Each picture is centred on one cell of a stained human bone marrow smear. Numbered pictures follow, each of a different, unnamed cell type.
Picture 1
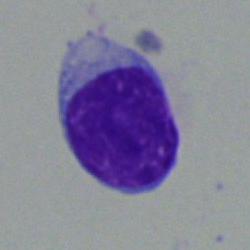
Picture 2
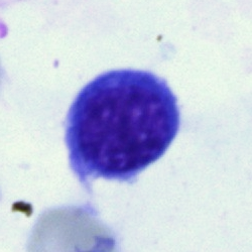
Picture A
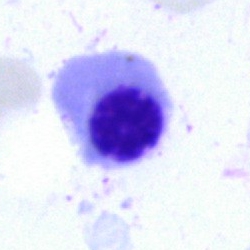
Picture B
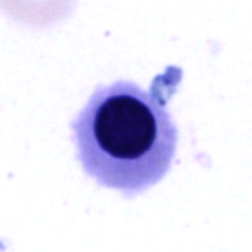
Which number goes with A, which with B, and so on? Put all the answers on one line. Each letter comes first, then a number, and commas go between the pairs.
A 2, B 2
